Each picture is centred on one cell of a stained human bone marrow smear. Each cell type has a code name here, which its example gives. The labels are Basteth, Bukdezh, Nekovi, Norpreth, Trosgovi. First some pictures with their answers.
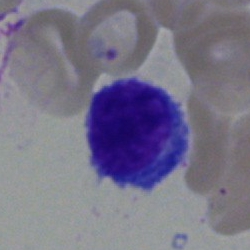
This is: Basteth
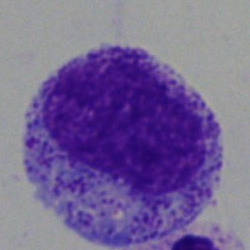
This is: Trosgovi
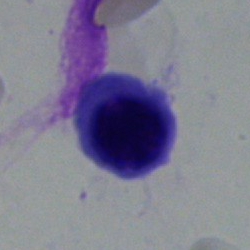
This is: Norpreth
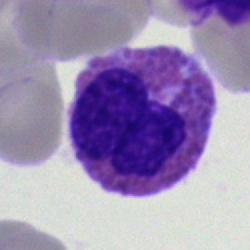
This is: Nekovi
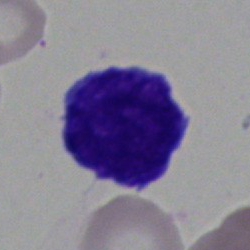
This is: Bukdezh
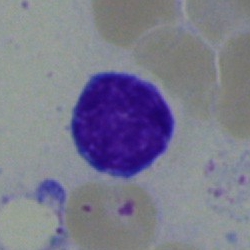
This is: Basteth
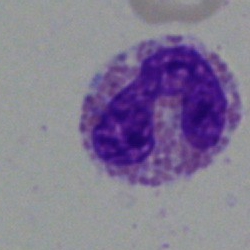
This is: Nekovi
